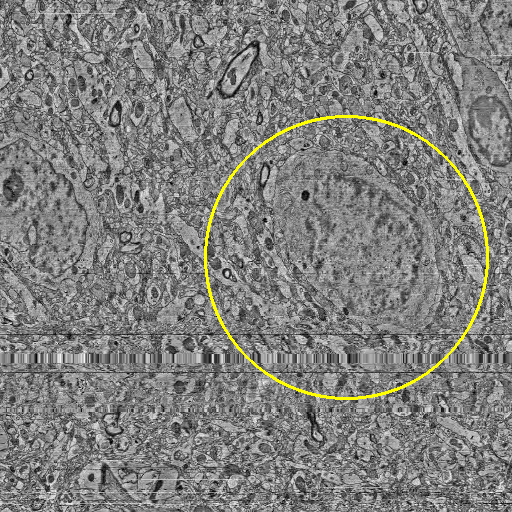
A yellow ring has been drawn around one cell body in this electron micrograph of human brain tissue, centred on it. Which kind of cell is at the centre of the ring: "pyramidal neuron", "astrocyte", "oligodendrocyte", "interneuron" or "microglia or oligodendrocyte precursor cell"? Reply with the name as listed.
interneuron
